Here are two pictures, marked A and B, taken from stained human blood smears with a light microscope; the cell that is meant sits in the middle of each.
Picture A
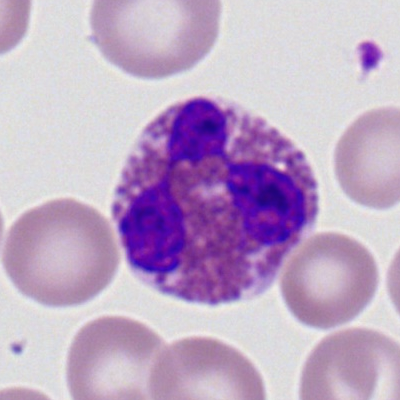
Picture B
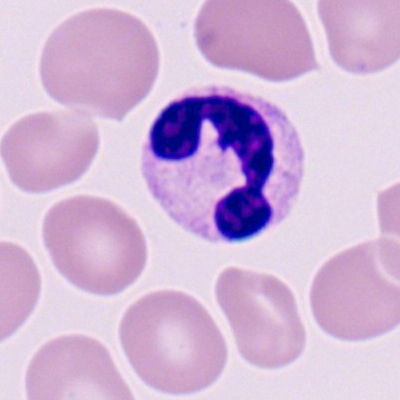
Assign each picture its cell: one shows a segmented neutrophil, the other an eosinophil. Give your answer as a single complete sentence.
Picture B shows a segmented neutrophil, while picture A shows an eosinophil.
